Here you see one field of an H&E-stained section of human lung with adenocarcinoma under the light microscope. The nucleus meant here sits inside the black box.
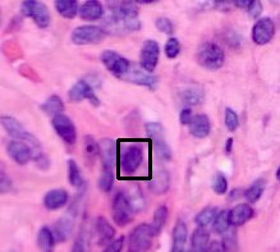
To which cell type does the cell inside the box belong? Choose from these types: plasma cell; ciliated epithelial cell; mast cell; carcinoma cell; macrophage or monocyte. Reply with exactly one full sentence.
In the tissue at hand, the cell inside the box is a plasma cell.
